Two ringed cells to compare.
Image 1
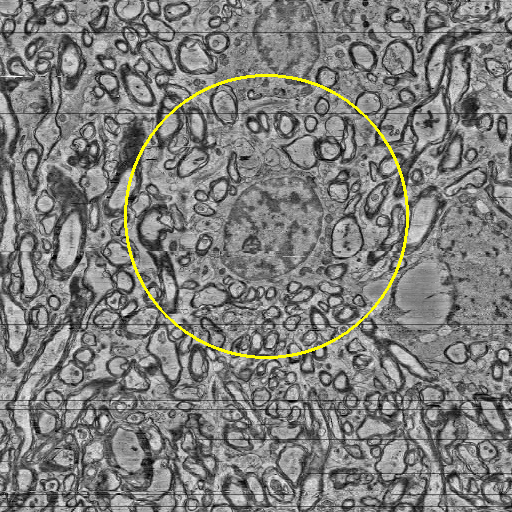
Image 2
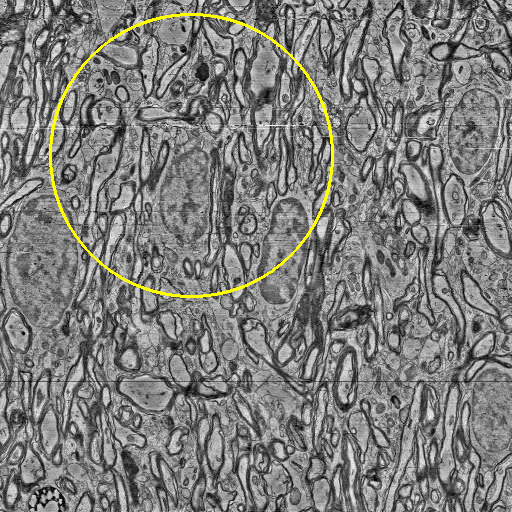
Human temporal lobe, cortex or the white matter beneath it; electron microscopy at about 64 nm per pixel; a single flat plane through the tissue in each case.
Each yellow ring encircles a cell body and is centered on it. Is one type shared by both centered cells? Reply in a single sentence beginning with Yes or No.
Yes, a single type is shared by the two cells at the centers of the rings.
